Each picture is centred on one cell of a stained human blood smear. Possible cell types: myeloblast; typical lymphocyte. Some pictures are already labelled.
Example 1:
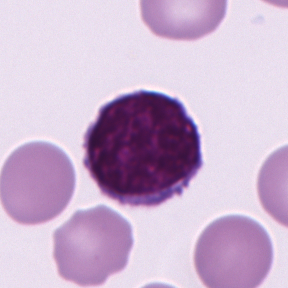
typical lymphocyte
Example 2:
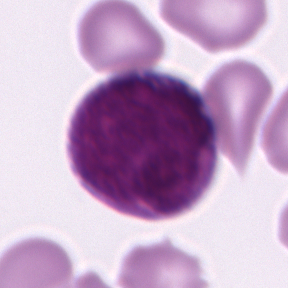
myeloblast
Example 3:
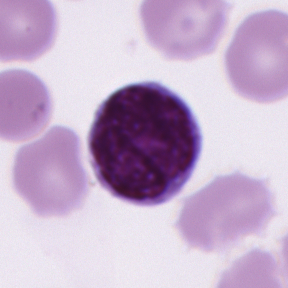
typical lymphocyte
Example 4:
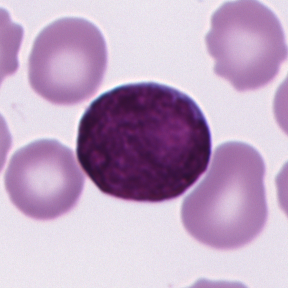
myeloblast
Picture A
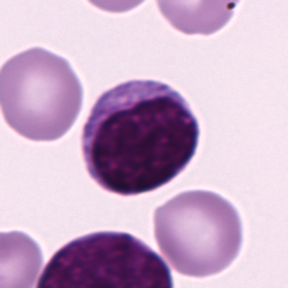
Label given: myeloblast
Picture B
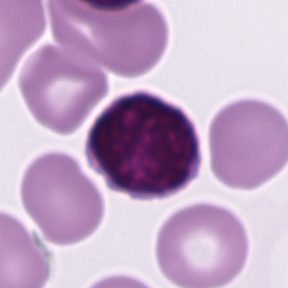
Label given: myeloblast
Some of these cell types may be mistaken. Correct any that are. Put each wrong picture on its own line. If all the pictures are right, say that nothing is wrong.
A is labelled myeloblast; correct label: typical lymphocyte
B is labelled myeloblast; correct label: typical lymphocyte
